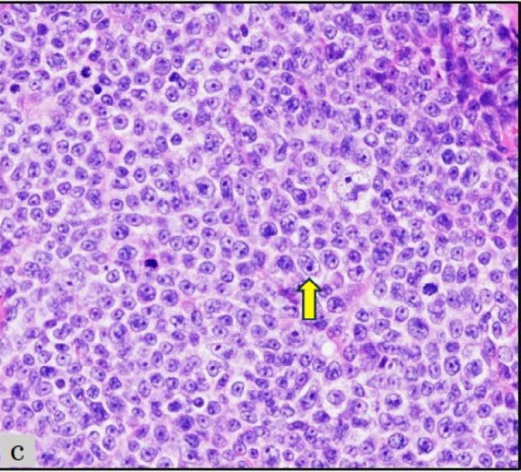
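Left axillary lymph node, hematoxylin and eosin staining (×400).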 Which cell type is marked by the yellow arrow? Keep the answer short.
Medium to large‐sized, atypical lymphoid cells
